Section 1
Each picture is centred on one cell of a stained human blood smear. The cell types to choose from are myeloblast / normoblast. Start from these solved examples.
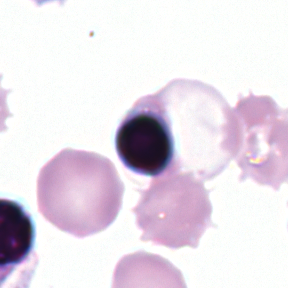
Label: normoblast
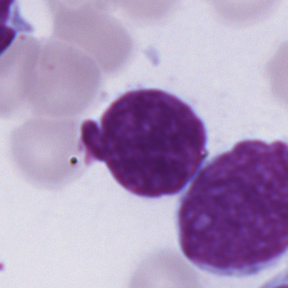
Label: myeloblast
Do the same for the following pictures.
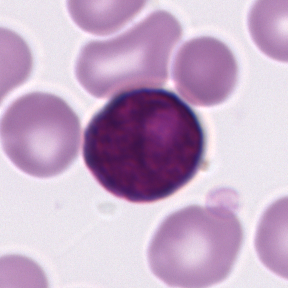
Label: myeloblast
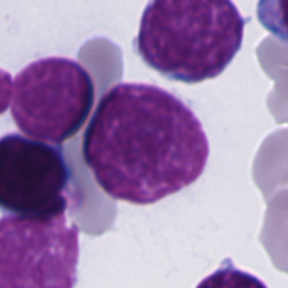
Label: myeloblast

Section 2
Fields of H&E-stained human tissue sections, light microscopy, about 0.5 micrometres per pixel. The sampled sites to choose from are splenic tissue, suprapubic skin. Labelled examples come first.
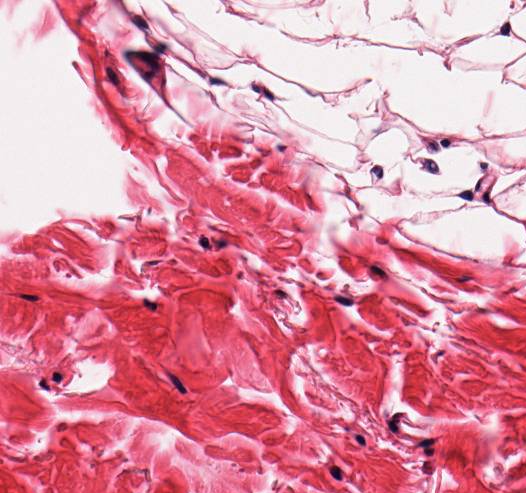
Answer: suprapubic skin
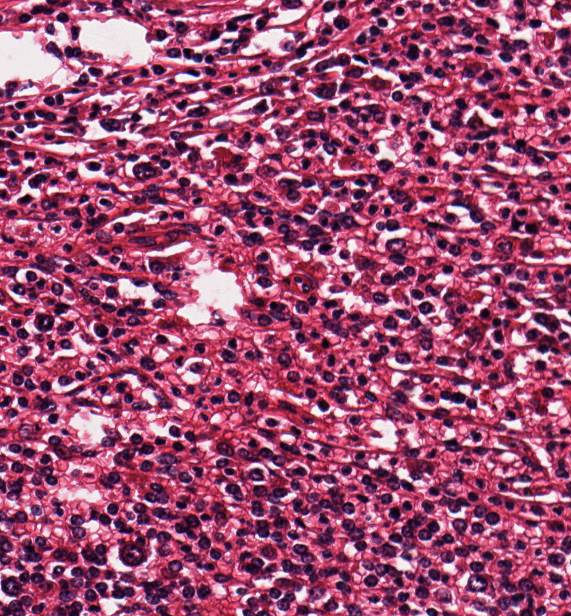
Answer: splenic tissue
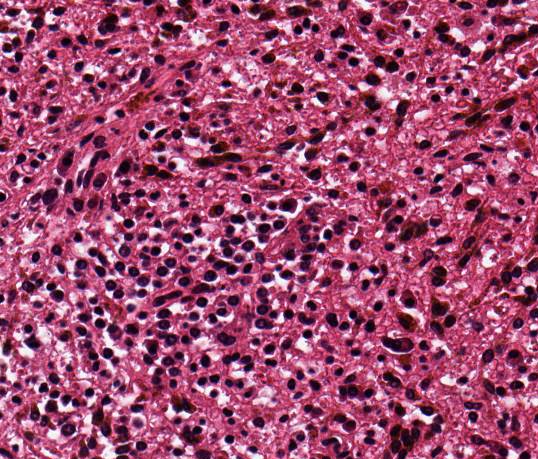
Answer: splenic tissue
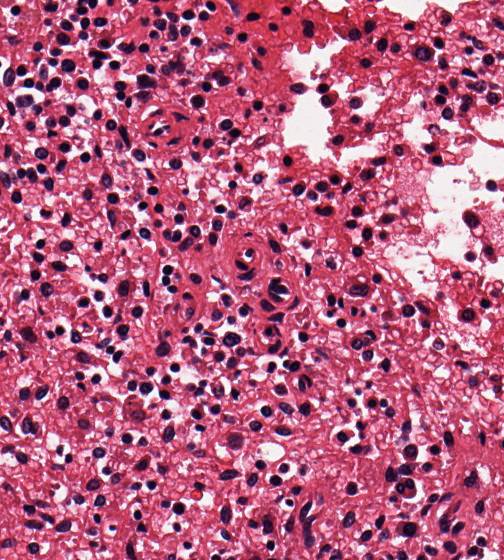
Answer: splenic tissue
